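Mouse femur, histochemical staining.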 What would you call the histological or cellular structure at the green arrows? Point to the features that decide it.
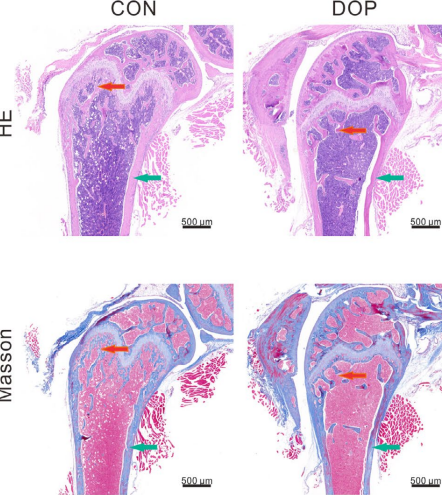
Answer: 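The arrows point to the dense outer wall of the bone shaft. This wall is a continuous band bordering the marrow cavity.
Answer: bone cortex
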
